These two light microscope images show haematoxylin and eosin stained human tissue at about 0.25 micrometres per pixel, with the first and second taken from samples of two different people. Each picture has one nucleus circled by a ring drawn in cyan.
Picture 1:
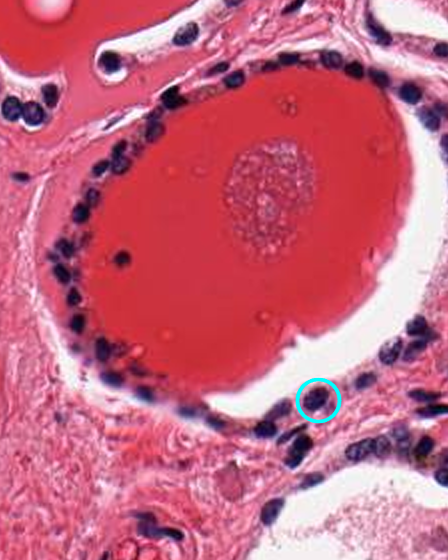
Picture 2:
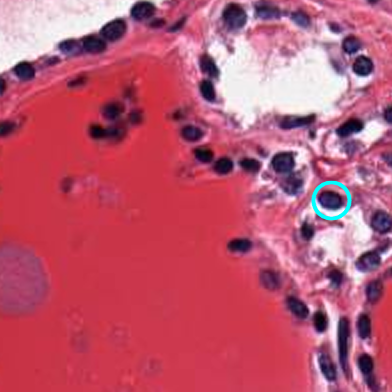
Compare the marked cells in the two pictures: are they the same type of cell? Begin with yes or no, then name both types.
Yes, both are thyroid follicular cells.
